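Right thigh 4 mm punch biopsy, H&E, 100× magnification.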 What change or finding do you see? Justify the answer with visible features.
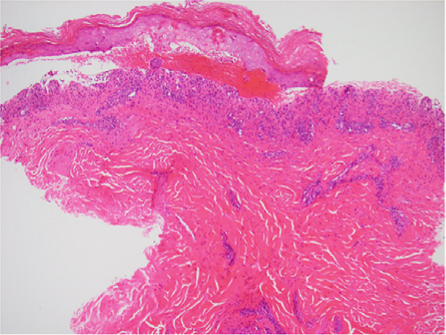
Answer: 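The whole epidermis is lifted off the underlying dermis. The cleft between epidermis and dermis is filled with red blood cells. So: subepidermal blister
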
